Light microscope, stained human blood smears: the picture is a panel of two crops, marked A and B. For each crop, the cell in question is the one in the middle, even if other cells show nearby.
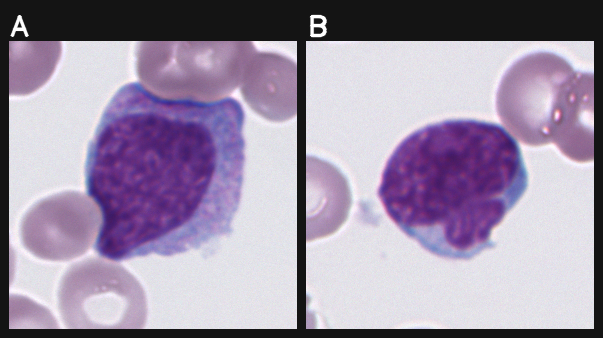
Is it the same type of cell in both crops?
no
